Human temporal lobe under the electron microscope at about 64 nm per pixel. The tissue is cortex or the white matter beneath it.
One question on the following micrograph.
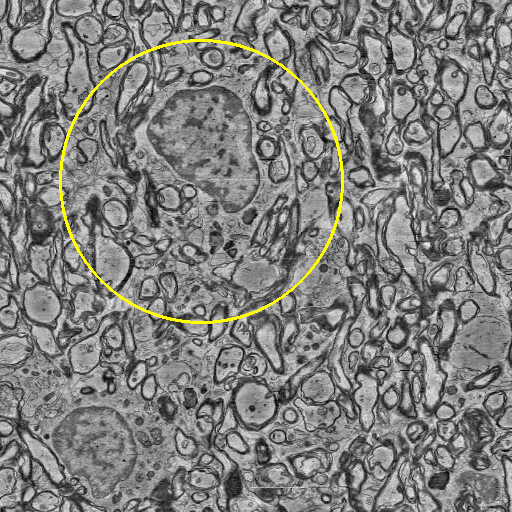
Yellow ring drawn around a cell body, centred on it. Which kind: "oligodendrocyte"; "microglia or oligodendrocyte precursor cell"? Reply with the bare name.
microglia or oligodendrocyte precursor cell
